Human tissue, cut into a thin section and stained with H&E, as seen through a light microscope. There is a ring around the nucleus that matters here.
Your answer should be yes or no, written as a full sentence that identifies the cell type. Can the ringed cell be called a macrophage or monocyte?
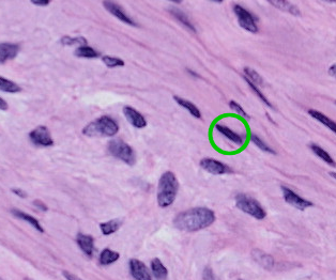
No, a macrophage or monocyte is not what the ringed cell is; it is a fibroblast.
